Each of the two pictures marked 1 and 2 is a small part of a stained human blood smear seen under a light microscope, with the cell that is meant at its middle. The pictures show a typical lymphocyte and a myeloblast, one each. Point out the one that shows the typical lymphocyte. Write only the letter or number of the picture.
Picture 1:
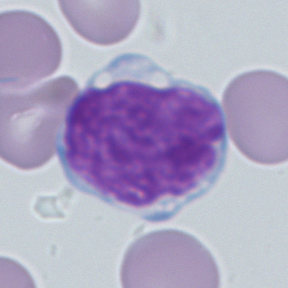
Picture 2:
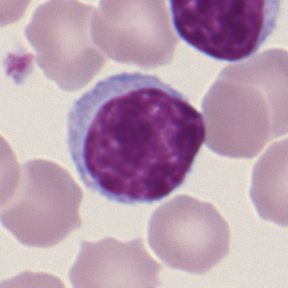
2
